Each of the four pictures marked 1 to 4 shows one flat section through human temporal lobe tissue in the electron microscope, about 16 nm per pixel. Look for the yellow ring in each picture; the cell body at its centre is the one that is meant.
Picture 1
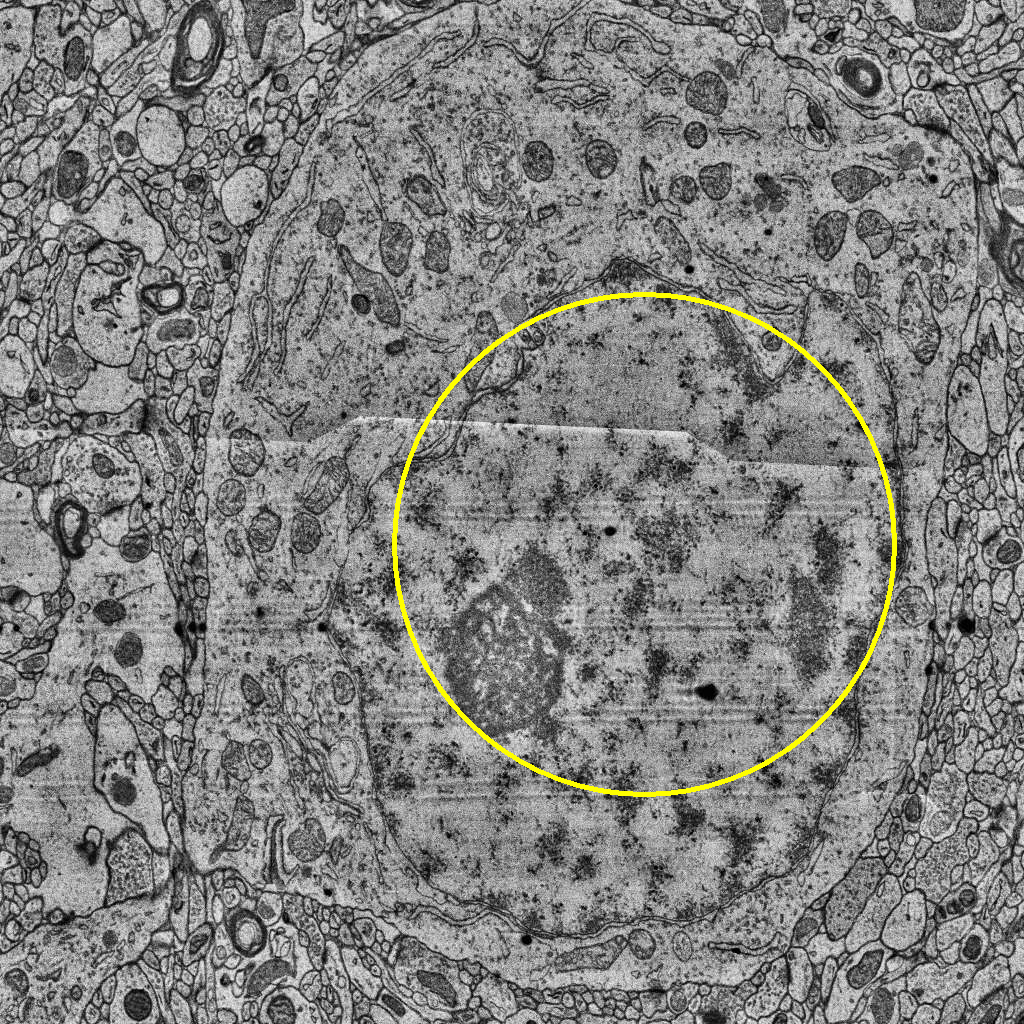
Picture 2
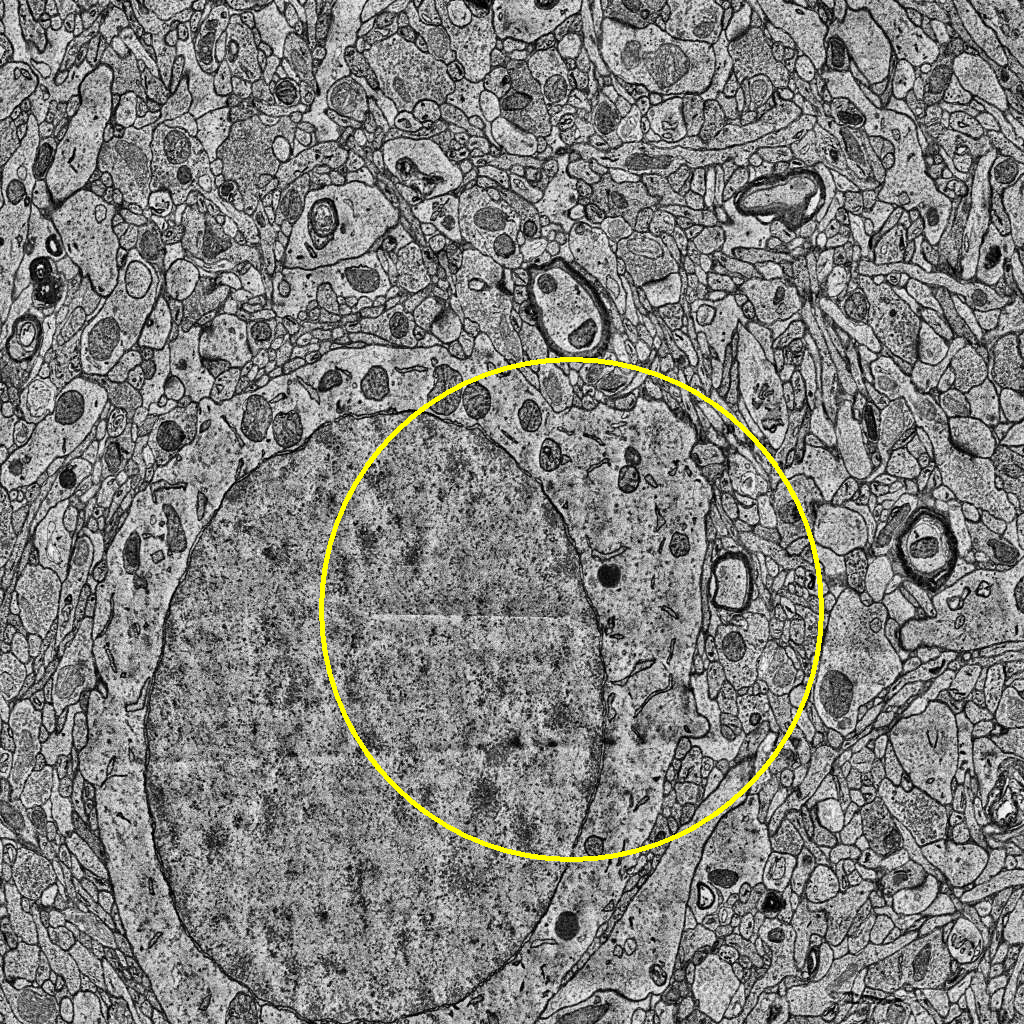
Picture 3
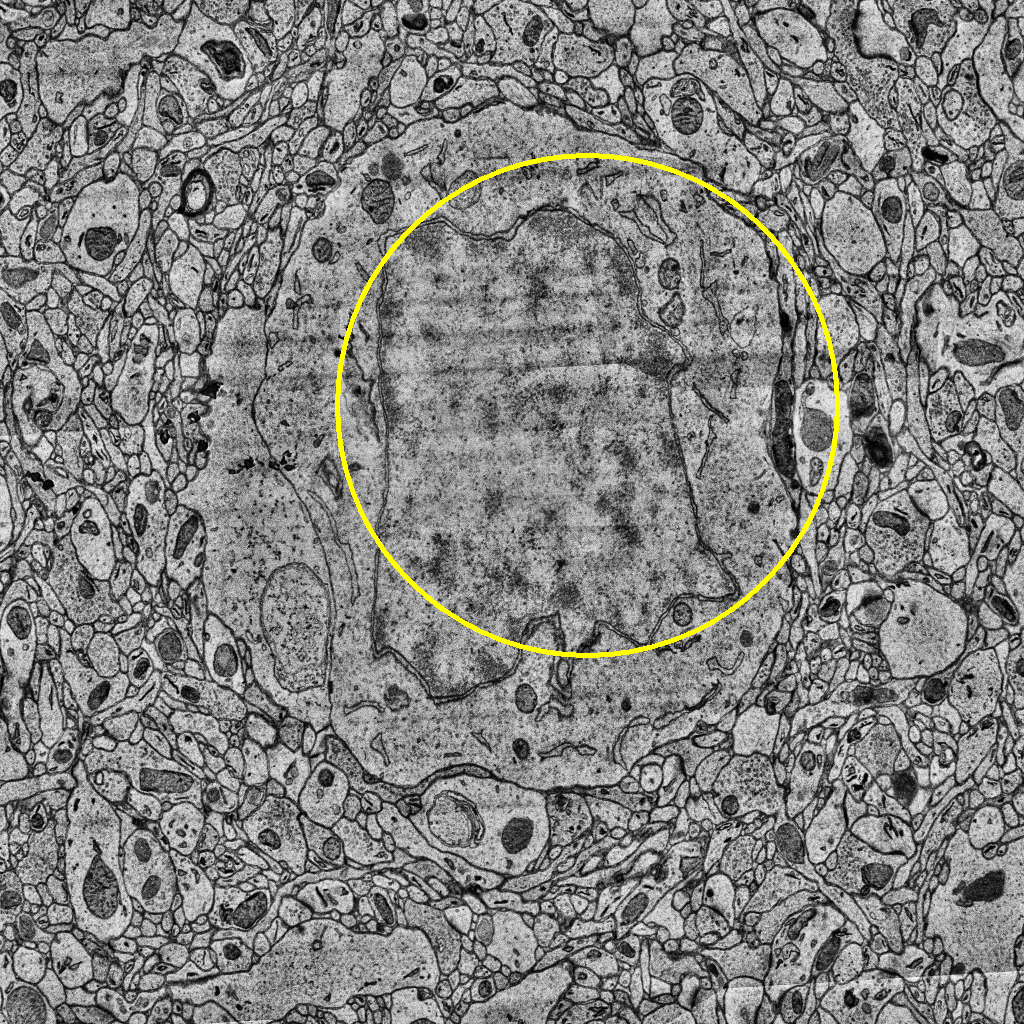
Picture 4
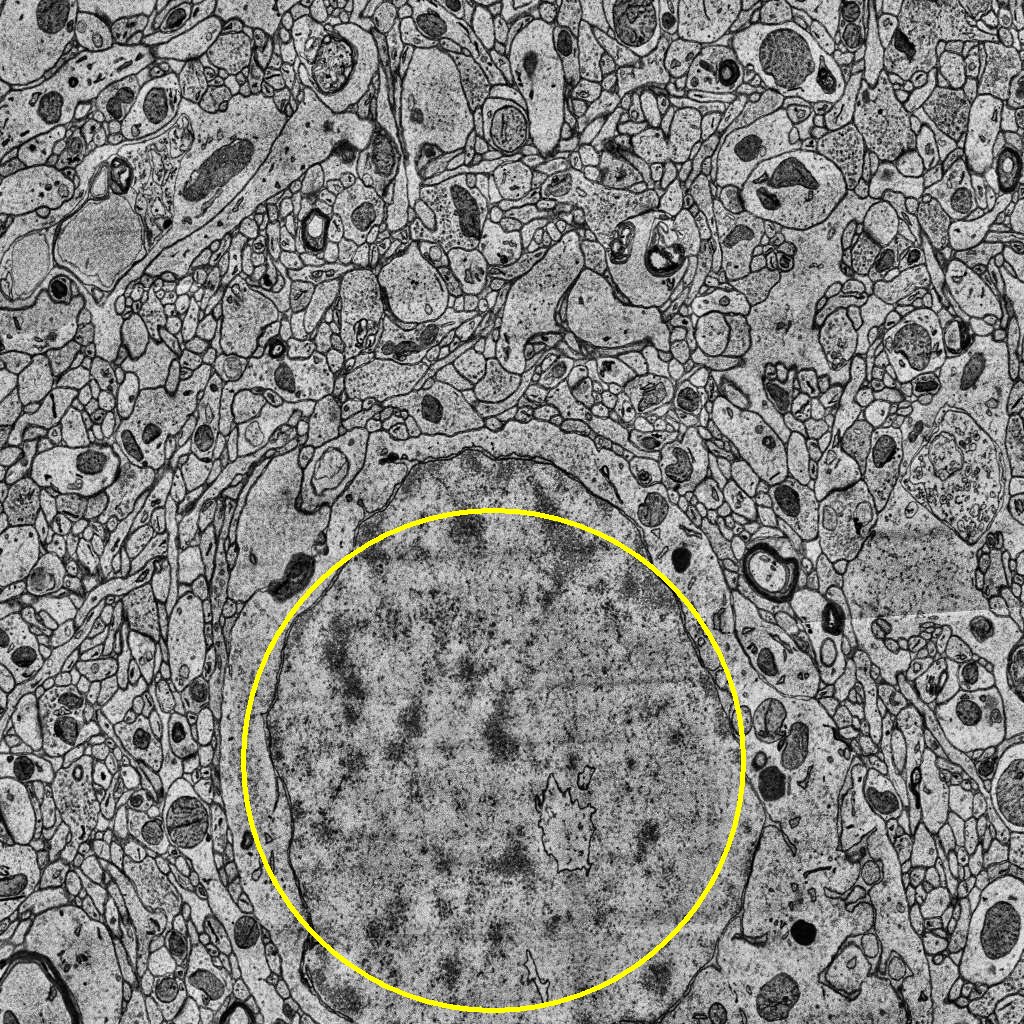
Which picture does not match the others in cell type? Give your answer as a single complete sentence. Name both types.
Picture 2 is the odd one out: it shows a pyramidal neuron, while the others show interneurons.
